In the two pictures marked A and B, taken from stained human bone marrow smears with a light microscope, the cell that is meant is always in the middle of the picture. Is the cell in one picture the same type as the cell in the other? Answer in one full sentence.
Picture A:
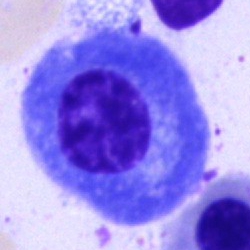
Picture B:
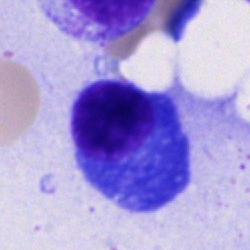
Yes, they are the same type: both are plasma cells.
